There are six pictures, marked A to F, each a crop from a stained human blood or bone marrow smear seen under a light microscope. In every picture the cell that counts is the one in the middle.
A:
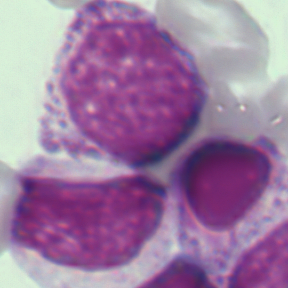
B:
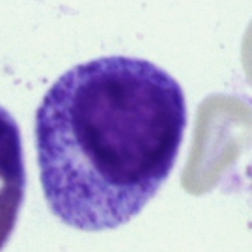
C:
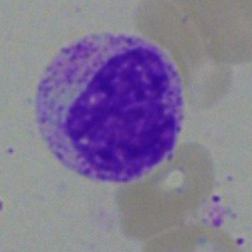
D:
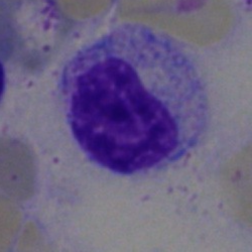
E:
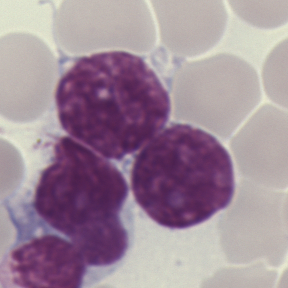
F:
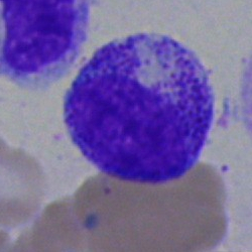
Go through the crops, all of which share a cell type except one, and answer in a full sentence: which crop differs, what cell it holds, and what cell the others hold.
For this set, crop E is a blast, and all the rest are myelocytes.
